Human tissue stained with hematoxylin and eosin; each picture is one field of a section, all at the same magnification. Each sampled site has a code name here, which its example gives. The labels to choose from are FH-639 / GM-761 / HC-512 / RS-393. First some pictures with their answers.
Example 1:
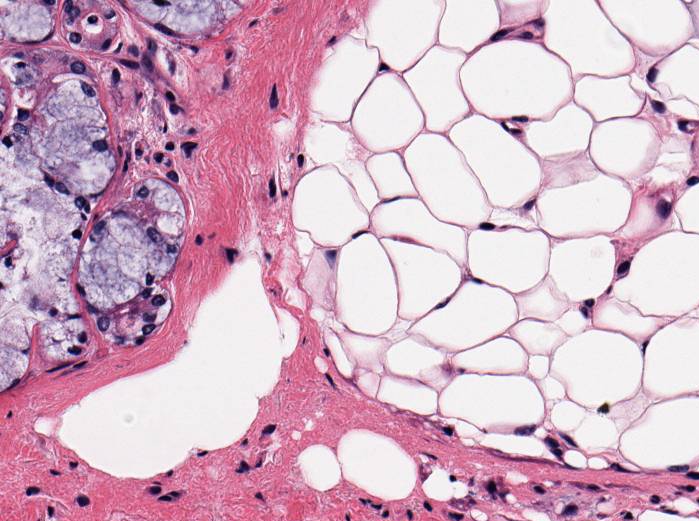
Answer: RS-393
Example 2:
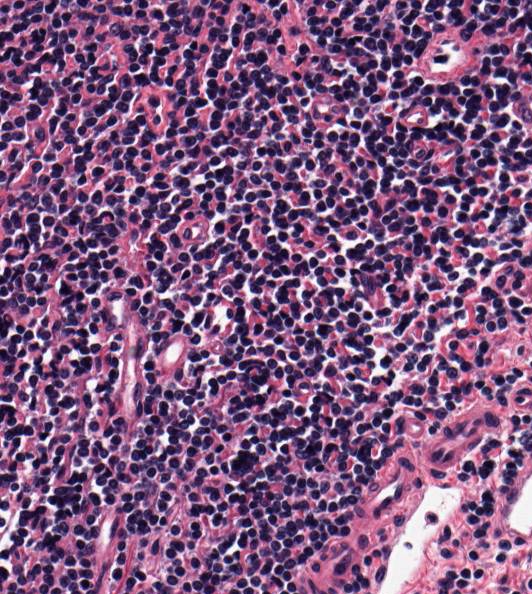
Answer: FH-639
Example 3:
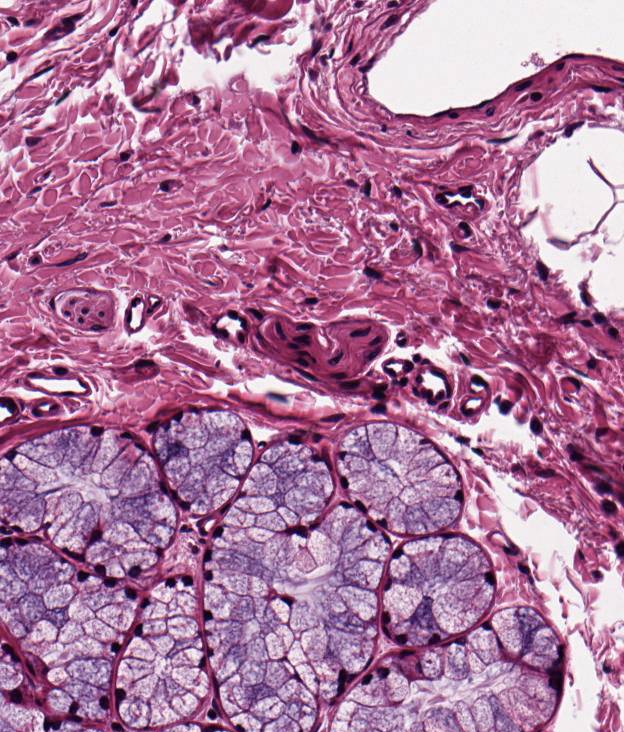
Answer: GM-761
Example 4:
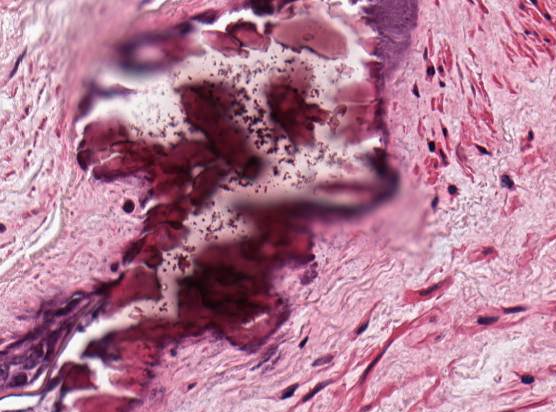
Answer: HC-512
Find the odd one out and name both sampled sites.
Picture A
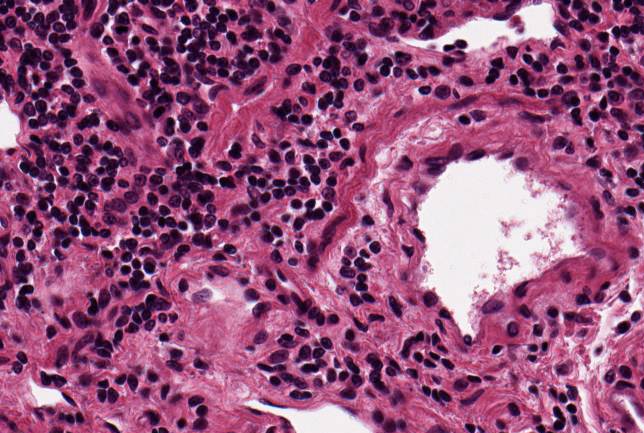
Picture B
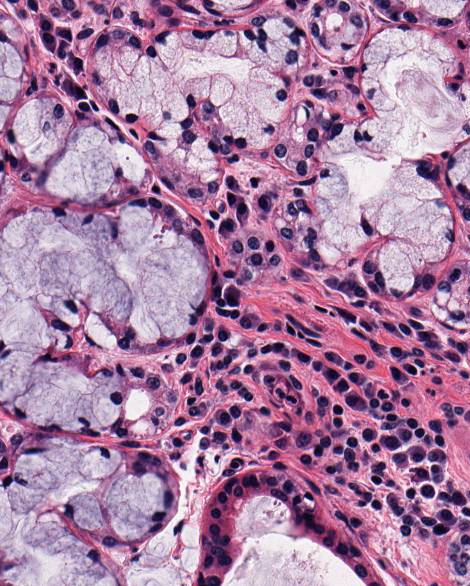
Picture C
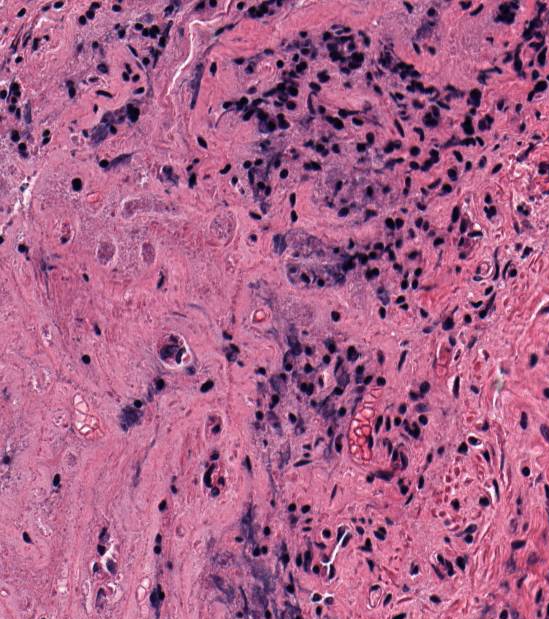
Exception: B, showing RS-393. Remaining pictures: FH-639.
